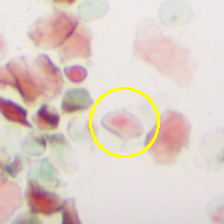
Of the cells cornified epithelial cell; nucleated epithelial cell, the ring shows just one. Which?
The ring shows a nucleated epithelial cell.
